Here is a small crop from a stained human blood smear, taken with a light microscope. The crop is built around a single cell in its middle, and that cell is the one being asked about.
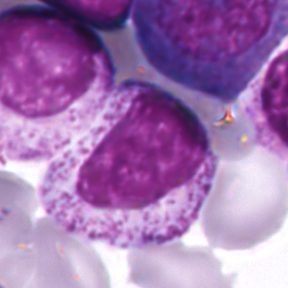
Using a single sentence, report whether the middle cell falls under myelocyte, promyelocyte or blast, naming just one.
The central cell, amid any neighbouring cells, is a myelocyte.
